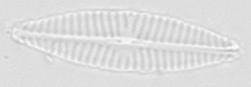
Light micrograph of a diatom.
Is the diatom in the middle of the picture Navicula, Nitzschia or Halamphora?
It is Navicula.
